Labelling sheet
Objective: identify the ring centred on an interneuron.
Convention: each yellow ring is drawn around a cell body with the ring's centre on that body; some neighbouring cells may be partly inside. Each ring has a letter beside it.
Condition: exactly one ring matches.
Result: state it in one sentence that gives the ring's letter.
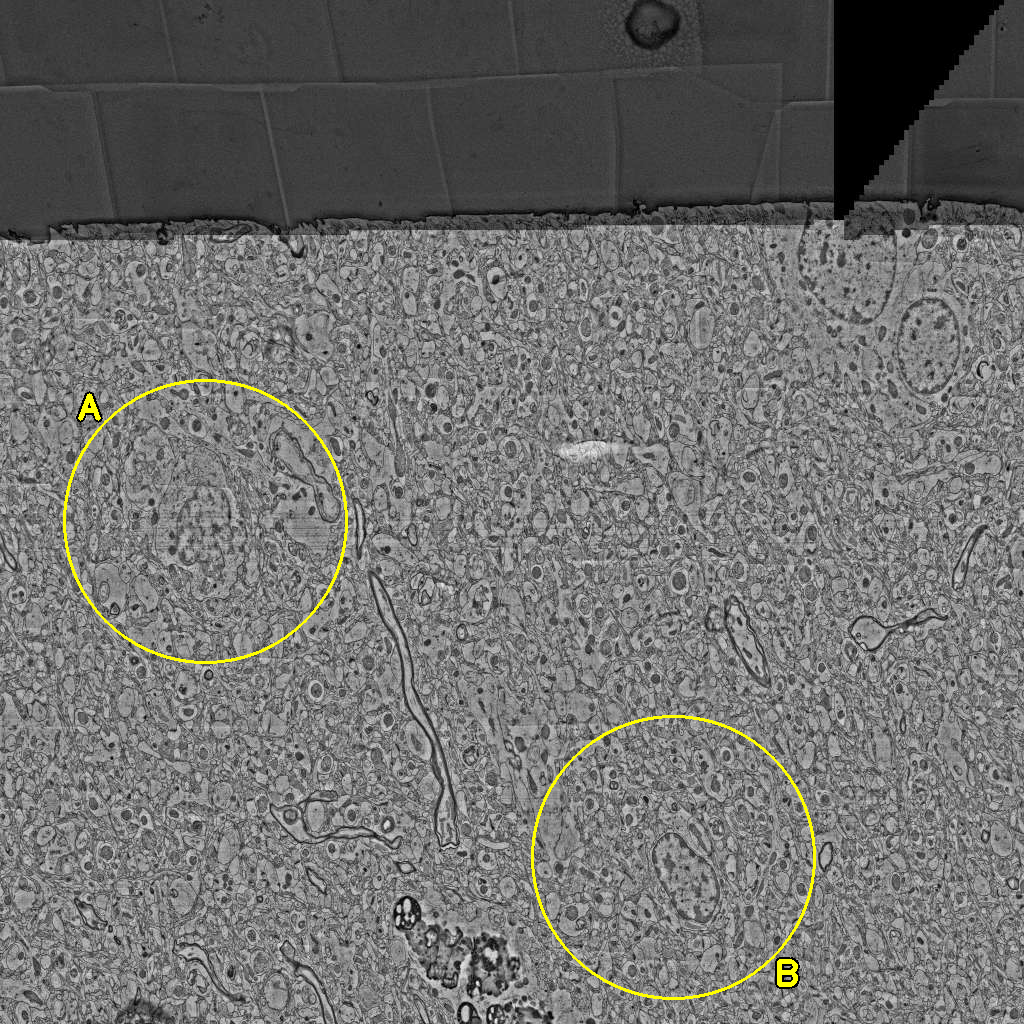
It lies at the centre of ring A.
